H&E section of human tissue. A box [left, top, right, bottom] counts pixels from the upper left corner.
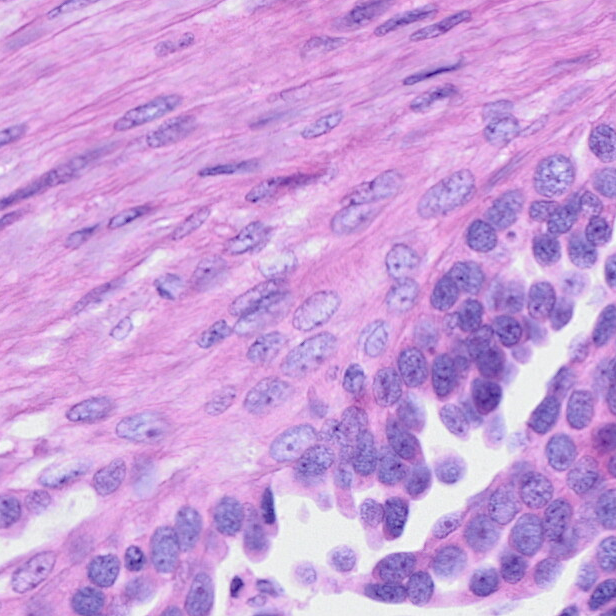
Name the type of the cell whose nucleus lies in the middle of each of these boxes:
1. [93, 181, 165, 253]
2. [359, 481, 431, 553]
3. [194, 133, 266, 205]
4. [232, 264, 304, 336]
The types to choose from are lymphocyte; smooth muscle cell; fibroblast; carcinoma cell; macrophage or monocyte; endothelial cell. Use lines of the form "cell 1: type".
cell 1: fibroblast
cell 2: carcinoma cell
cell 3: fibroblast
cell 4: fibroblast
